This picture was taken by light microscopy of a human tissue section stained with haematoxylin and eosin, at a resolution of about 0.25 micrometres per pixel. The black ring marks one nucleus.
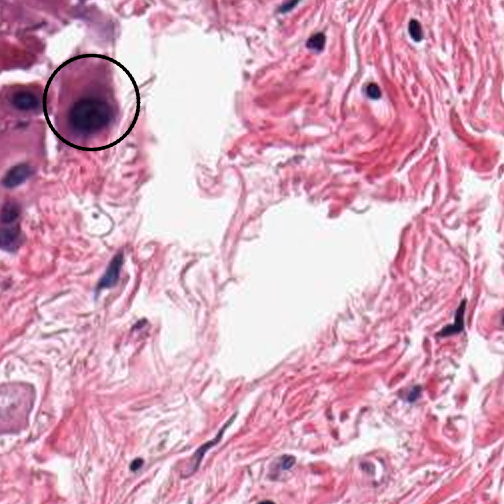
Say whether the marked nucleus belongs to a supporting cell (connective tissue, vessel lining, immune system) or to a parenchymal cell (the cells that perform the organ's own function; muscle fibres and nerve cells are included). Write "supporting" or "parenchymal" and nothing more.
parenchymal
